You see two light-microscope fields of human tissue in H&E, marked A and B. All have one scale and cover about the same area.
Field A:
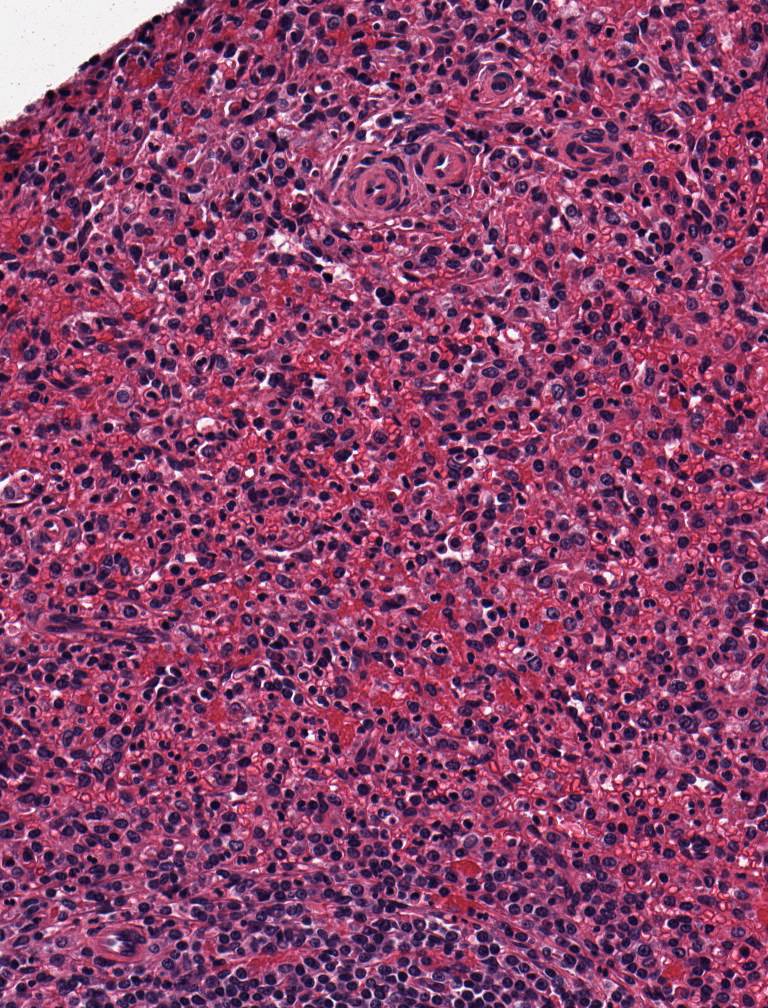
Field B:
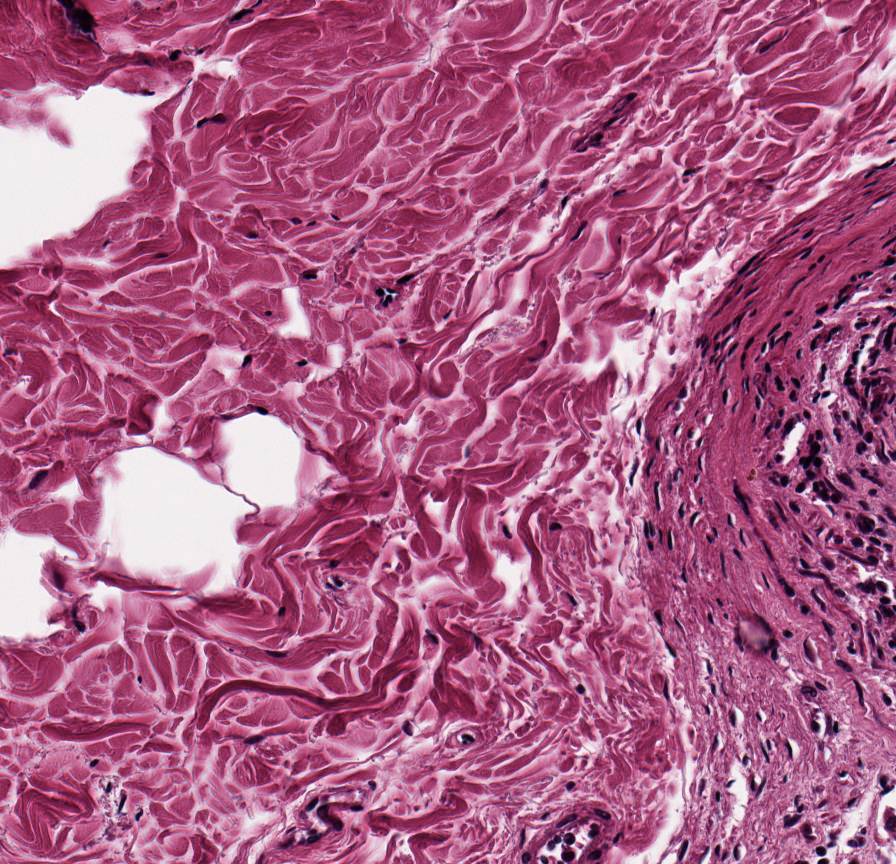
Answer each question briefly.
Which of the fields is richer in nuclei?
A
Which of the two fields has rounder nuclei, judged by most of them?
A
